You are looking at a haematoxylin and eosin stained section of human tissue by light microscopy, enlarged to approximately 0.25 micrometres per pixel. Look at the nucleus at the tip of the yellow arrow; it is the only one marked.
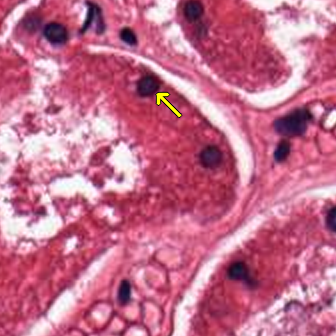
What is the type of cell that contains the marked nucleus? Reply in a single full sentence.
The nucleus with the mark belongs to a proximal tubule cell.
